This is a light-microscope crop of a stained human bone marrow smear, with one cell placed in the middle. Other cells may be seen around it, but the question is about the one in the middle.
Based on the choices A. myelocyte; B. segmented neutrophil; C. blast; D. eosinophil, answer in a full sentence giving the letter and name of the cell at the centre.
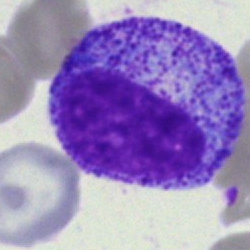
The centrally located cell is a myelocyte, making option A the correct choice.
